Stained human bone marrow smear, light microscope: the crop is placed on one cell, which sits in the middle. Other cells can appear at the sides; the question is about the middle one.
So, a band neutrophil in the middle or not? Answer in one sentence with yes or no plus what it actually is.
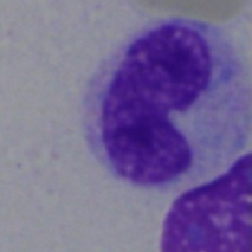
Yes, the cell at the heart of the crop is a band neutrophil.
